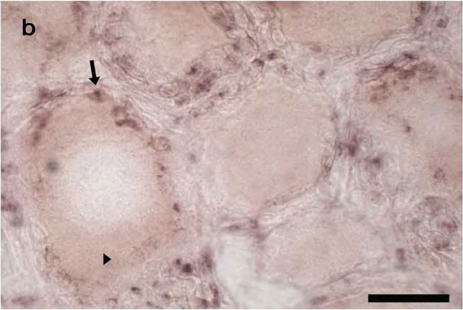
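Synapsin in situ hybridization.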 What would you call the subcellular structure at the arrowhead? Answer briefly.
oocyte cytoplasm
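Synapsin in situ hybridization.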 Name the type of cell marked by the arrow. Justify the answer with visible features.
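The arrow points to small dark-stained cells in a thin layer around a large round cell.
Hence: follicular cells.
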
